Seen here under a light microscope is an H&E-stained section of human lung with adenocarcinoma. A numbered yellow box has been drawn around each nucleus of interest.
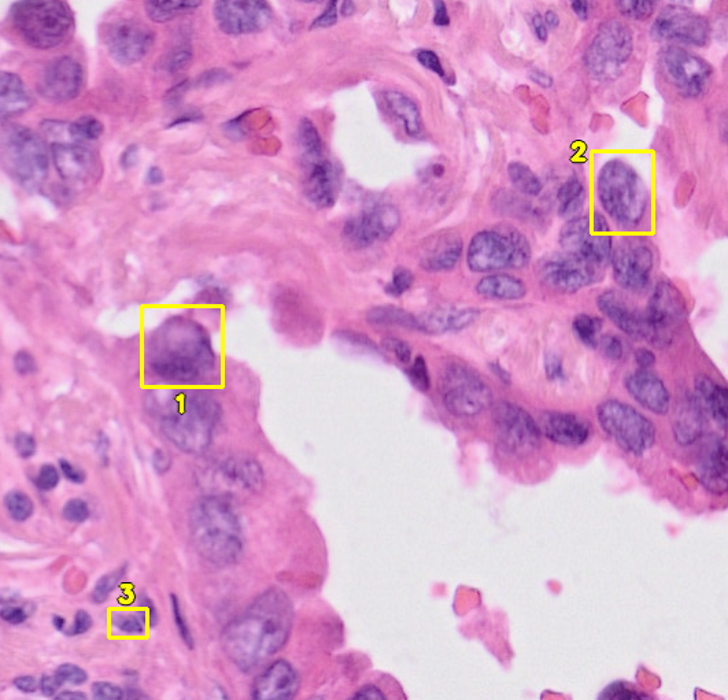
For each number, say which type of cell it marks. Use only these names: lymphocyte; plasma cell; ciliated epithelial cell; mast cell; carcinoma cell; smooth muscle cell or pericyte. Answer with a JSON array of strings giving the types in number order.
["carcinoma cell", "carcinoma cell", "lymphocyte"]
